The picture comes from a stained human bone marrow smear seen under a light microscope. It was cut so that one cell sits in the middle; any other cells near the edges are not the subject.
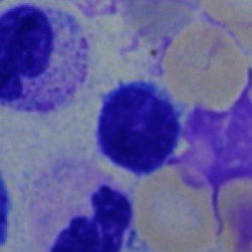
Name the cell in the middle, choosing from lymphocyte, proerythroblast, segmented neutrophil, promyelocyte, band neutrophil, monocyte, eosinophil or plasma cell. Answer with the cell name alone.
lymphocyte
